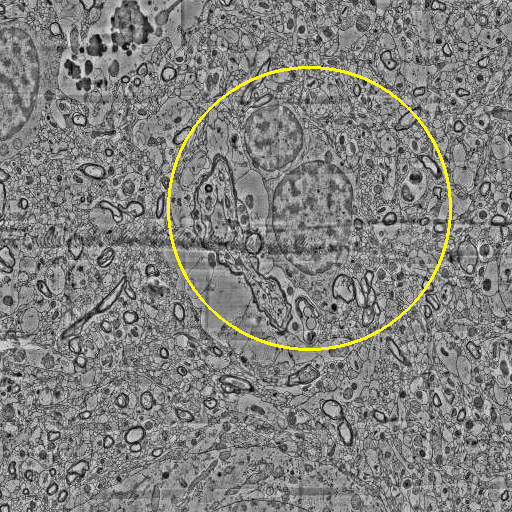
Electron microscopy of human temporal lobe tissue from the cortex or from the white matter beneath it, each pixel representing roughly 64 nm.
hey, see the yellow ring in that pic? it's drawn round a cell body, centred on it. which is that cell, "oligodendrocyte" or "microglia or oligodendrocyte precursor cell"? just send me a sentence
The cell in the ring is an oligodendrocyte.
